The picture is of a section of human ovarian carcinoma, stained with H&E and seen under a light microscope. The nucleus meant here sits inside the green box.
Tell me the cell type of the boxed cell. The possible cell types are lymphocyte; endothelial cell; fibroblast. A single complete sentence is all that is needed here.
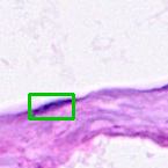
Microscopically, the boxed cell is categorized as an endothelial cell.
